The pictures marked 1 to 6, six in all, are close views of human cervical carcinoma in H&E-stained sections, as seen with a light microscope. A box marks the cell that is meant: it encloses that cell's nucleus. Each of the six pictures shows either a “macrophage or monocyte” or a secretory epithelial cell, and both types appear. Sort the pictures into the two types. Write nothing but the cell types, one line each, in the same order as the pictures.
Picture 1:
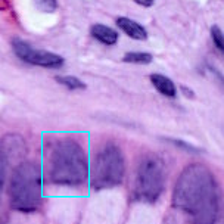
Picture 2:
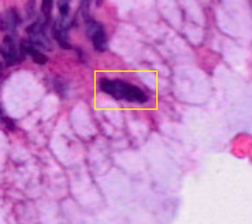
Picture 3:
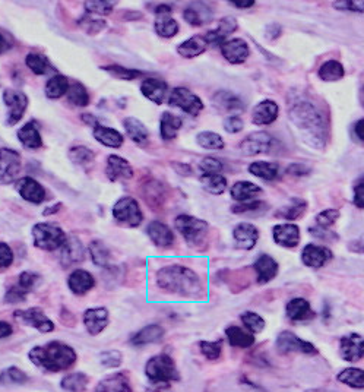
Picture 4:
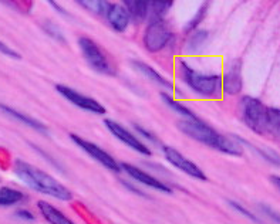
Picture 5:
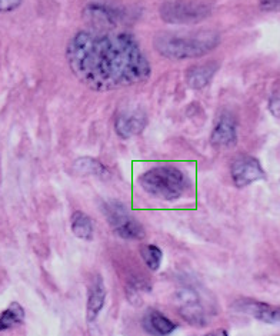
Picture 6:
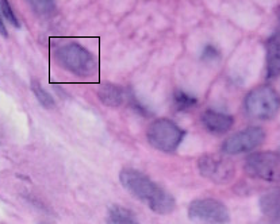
secretory epithelial cell
secretory epithelial cell
macrophage or monocyte
secretory epithelial cell
macrophage or monocyte
secretory epithelial cell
